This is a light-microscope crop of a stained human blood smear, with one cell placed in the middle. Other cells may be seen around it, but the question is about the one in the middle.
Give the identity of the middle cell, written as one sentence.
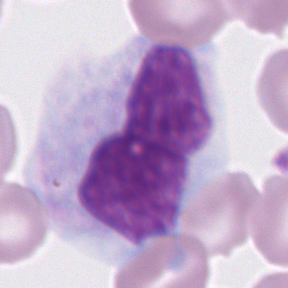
The single cell at the center of the crop is a monocyte.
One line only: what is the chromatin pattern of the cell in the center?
The chromatin is fine throughout, without coarse clumps.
